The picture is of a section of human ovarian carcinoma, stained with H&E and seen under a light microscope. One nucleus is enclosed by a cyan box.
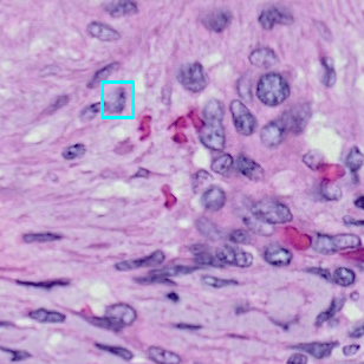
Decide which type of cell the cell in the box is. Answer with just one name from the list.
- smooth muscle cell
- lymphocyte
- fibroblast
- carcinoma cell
fibroblast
